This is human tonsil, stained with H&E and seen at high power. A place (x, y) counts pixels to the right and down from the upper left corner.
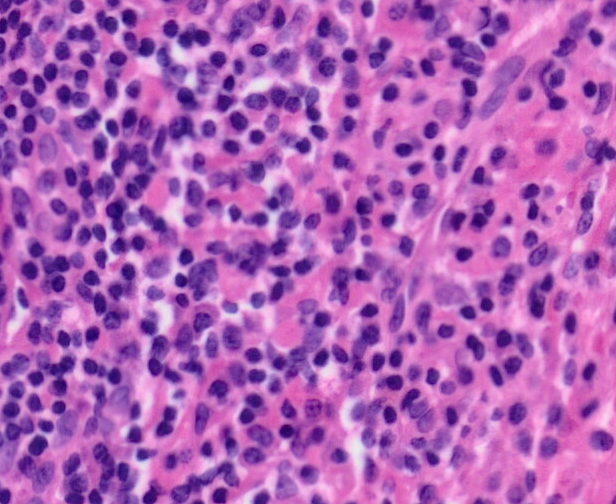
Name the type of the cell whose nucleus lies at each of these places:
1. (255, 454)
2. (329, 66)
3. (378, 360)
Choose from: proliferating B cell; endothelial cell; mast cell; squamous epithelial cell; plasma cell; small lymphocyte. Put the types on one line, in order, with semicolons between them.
plasma cell; plasma cell; small lymphocyte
